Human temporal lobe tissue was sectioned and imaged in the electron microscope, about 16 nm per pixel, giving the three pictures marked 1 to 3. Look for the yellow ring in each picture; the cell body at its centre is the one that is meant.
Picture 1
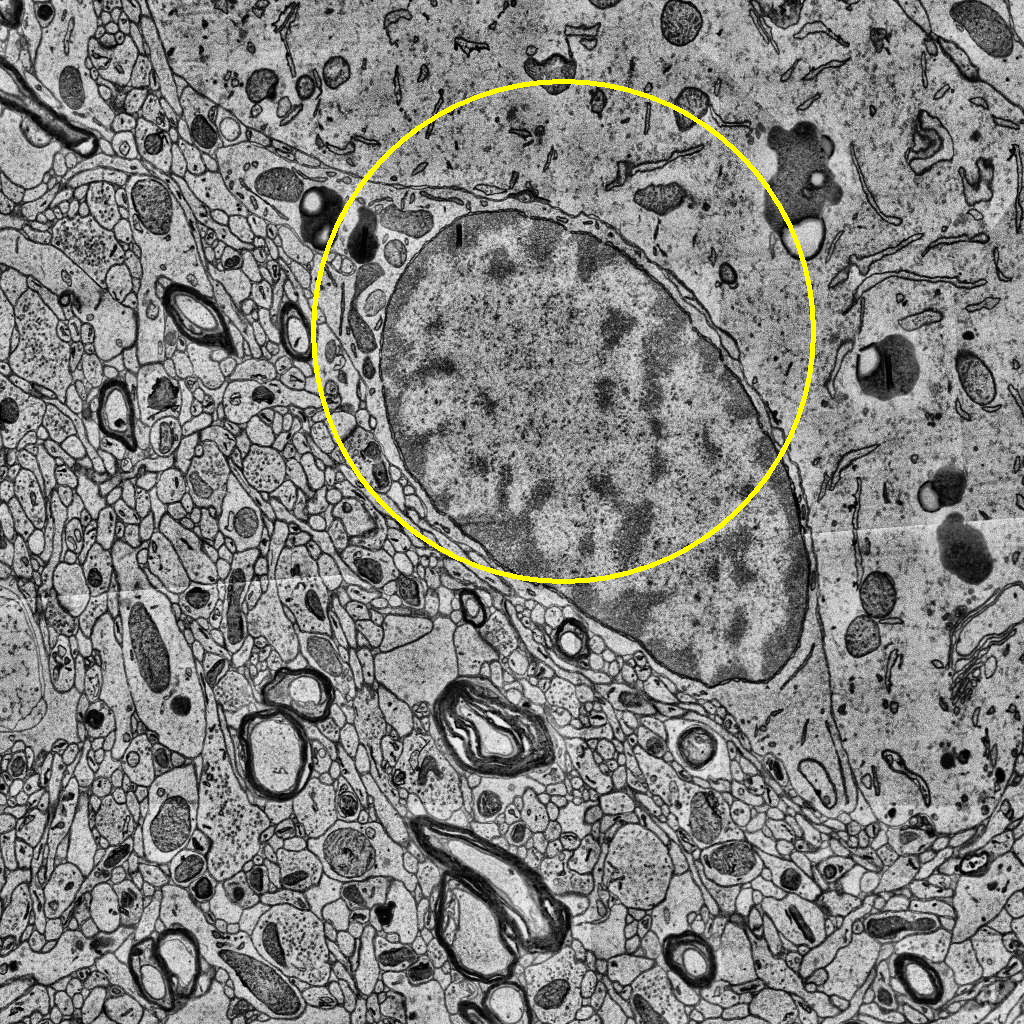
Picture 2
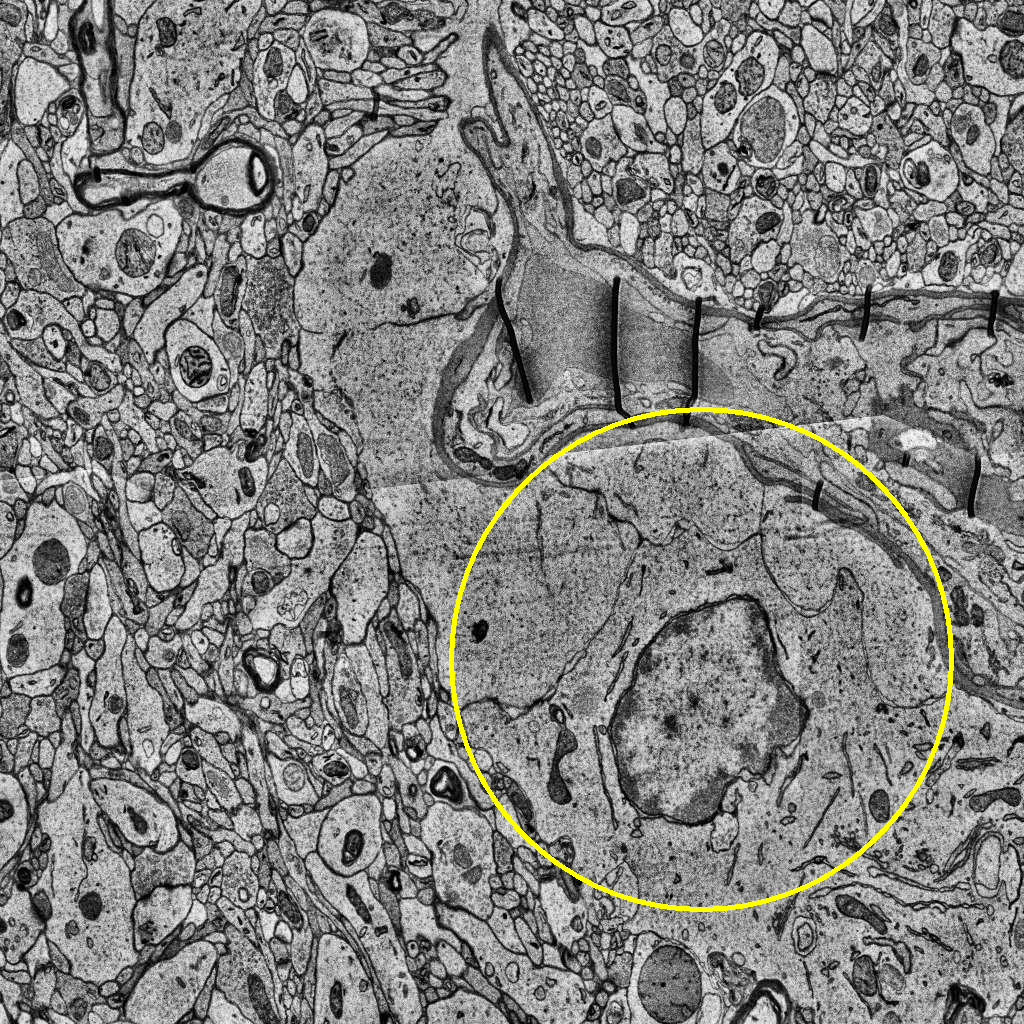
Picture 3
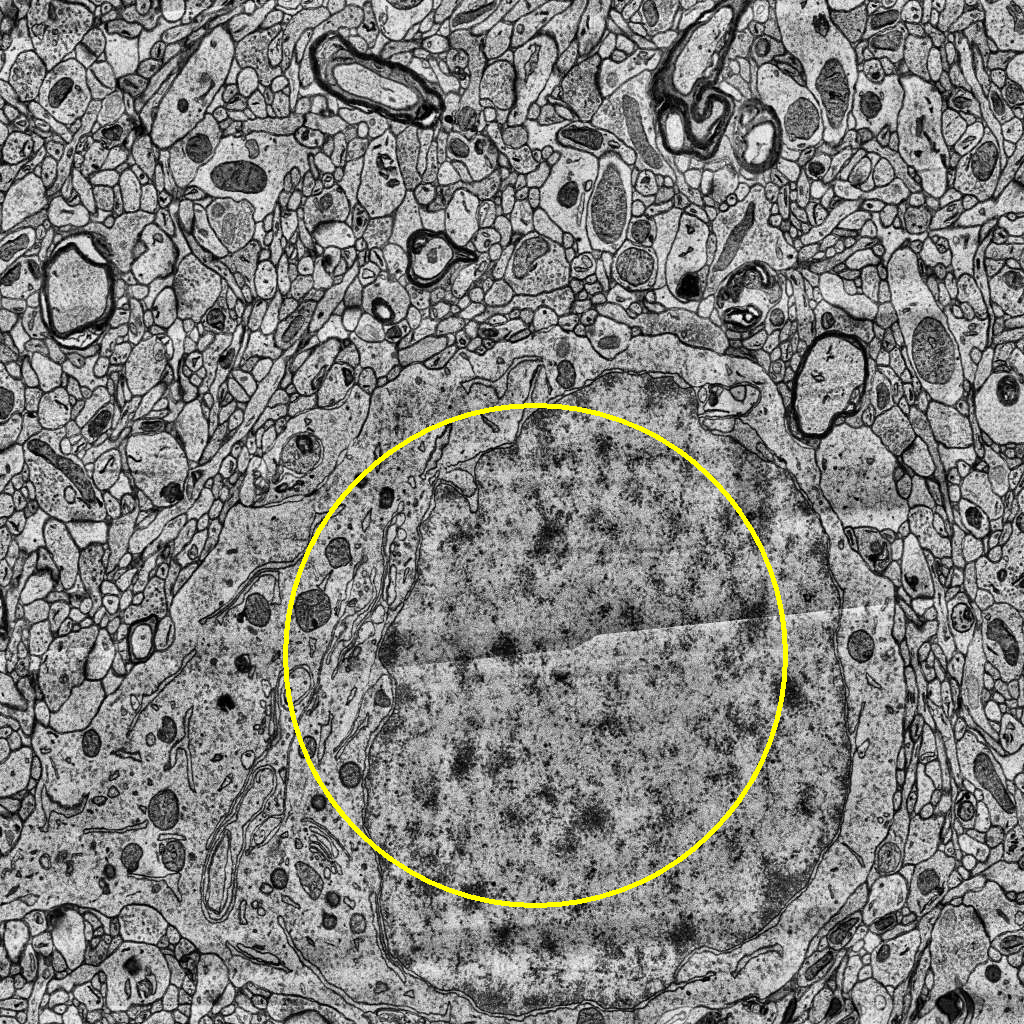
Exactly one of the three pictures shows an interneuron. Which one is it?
It is picture 3 that shows the interneuron.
